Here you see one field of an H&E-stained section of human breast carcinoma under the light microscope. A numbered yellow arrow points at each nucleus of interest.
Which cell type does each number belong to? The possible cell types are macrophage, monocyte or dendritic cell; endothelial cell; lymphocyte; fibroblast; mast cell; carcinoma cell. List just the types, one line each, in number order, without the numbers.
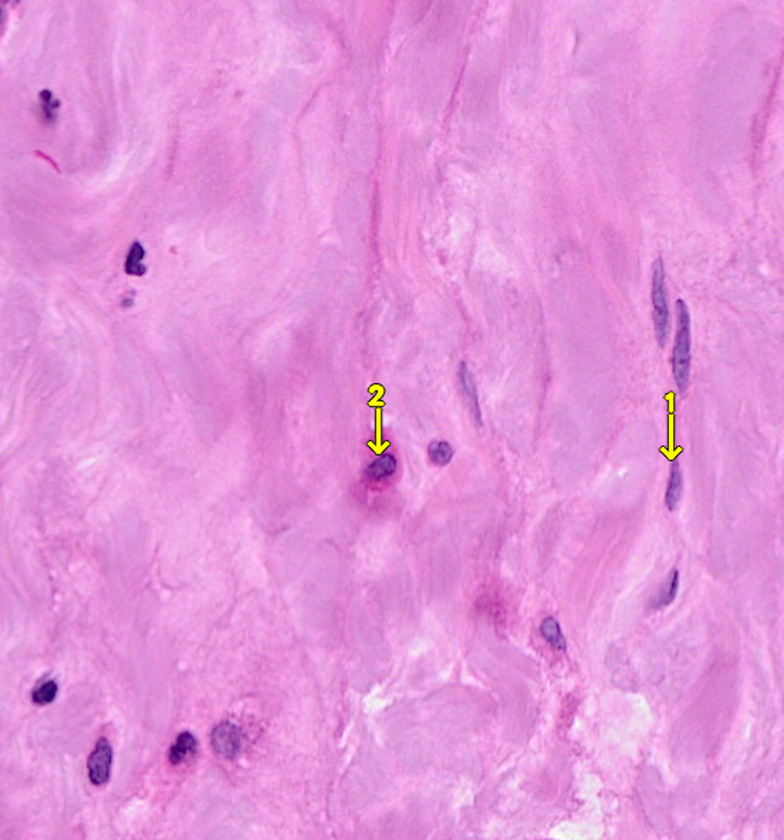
fibroblast
mast cell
